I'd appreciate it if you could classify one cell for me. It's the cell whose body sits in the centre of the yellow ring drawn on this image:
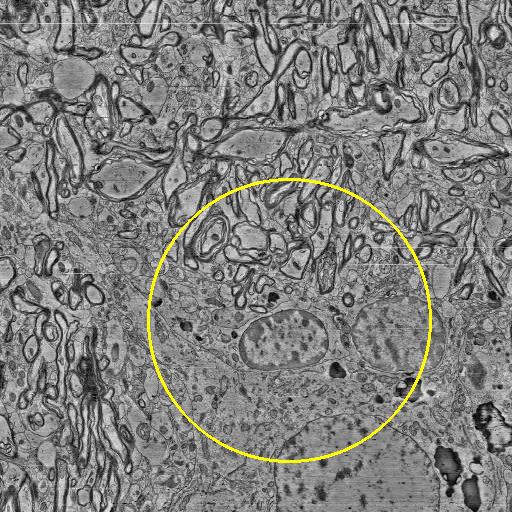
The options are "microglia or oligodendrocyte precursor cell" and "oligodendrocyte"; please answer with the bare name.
microglia or oligodendrocyte precursor cell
